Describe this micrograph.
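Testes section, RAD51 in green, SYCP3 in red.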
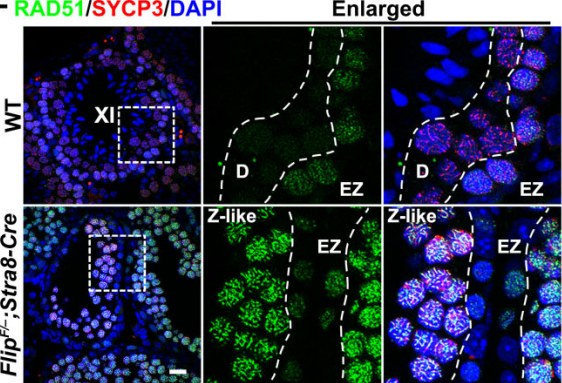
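Cross-sections of seminiferous tubules packed with spermatocytes whose round blue nuclei carry red thread-like axes. In the upper image the nuclei carry few green foci, whereas in the lower image groups of spermatocytes are filled with bright green dots along their red threads. Flat nuclei lie in the interstitium between the tubules.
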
